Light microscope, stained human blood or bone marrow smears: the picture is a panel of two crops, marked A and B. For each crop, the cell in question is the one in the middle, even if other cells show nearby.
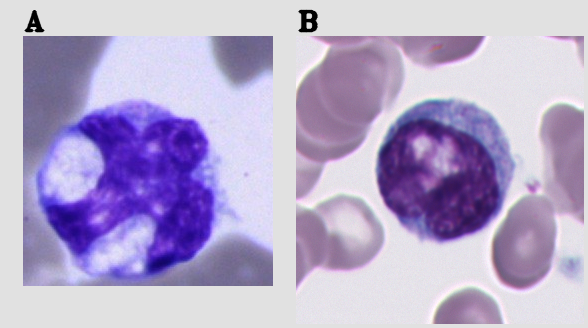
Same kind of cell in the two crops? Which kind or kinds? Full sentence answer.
Yes, both of the crops show monocytes.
